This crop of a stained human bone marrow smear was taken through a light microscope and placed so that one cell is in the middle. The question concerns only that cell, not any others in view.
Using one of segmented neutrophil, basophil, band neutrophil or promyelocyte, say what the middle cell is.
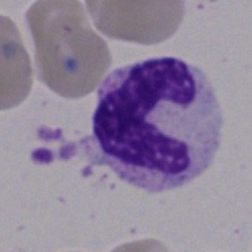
band neutrophil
